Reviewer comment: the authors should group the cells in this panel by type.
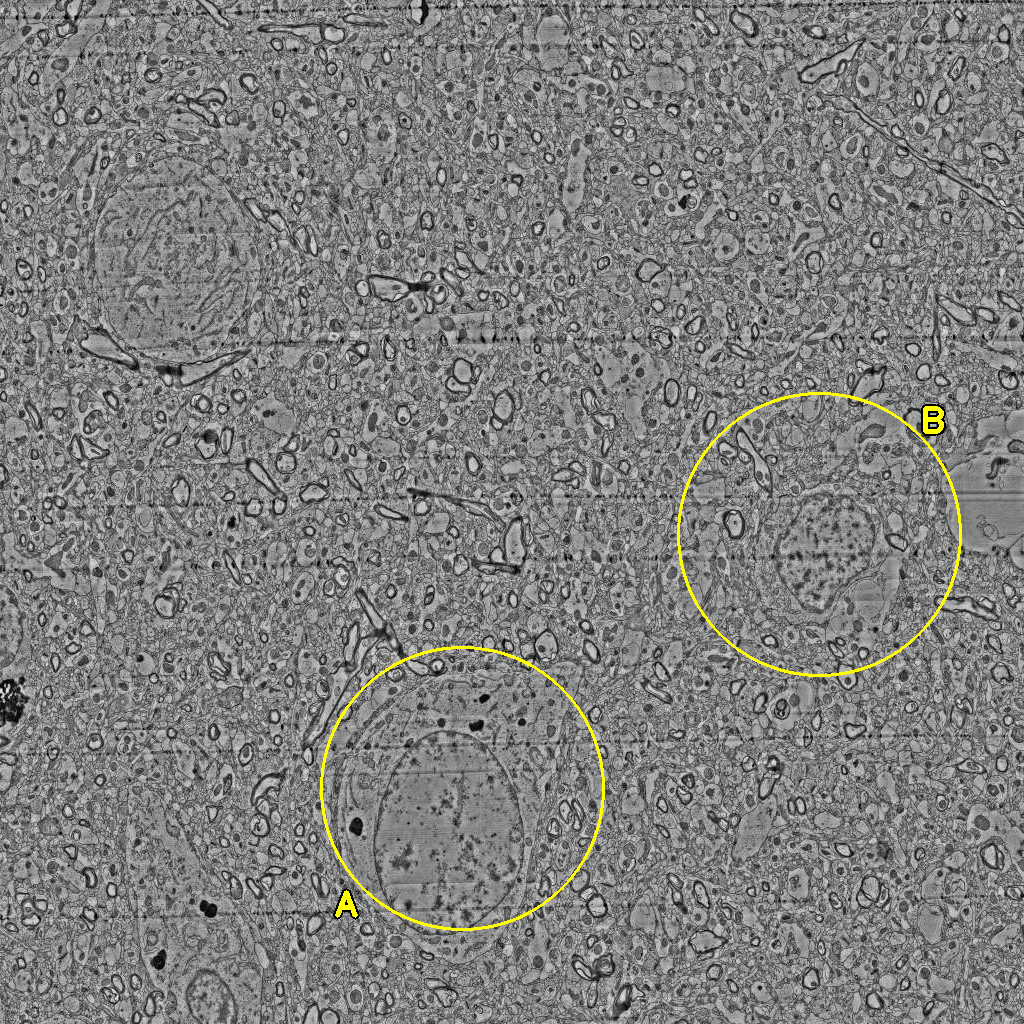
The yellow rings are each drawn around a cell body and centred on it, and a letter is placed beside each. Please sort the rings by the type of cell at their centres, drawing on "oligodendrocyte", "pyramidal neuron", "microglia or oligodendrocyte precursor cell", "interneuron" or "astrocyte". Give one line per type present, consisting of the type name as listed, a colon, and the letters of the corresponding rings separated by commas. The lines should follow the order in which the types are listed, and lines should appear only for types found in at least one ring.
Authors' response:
pyramidal neuron: A
interneuron: B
